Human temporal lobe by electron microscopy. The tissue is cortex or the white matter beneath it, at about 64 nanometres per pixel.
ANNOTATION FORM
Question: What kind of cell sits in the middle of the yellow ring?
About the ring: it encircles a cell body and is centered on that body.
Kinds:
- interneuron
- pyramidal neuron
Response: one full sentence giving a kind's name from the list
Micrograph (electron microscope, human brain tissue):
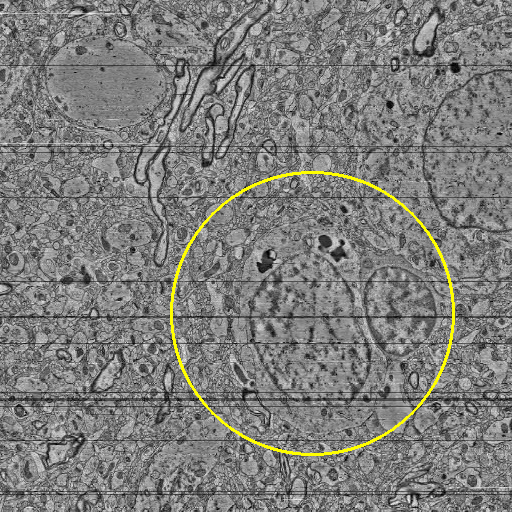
The kind of cell found at the center of the yellow ring in the micrograph is an interneuron.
